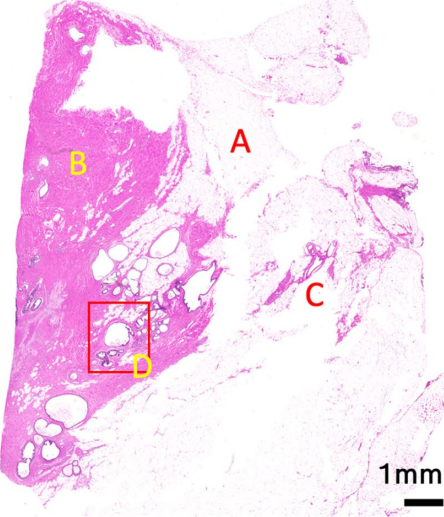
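This low-magnification section shows a dense pink band of connective tissue on the left beside a large pale region of fat on the right. Within the pink connective tissue, especially in its lower part, lie many rounded empty cysts of different sizes. A few pink, elongated structures run through the pale fatty region. A large empty gap appears near the top of the pink tissue.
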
